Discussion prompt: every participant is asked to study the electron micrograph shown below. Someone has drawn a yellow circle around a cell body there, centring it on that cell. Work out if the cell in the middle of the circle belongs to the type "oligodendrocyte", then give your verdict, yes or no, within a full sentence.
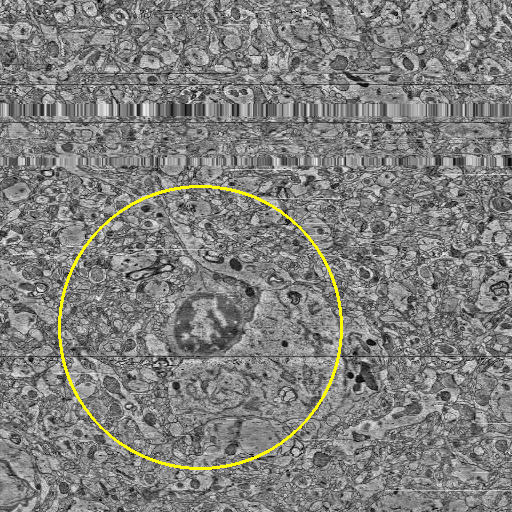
Yes, my verdict is that the cell in the circle's centre is of that type.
